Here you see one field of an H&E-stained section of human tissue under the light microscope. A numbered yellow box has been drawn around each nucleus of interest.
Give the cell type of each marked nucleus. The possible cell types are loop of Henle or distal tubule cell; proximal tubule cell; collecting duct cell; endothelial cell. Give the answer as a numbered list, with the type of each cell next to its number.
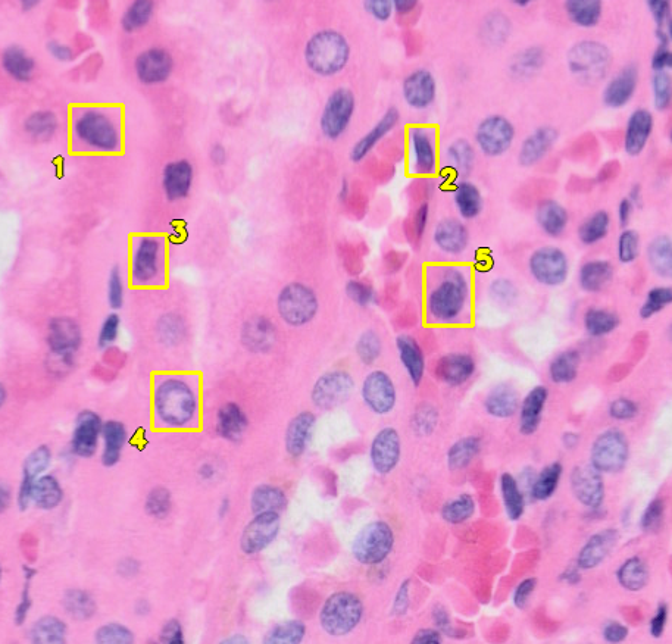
1. proximal tubule cell
2. endothelial cell
3. proximal tubule cell
4. proximal tubule cell
5. loop of Henle or distal tubule cell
